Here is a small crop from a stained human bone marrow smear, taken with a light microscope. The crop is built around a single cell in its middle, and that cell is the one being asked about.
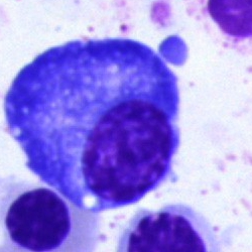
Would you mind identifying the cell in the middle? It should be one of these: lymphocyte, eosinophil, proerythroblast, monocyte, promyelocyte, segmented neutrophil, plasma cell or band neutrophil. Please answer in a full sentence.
Here the centrally located cell is a plasma cell.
